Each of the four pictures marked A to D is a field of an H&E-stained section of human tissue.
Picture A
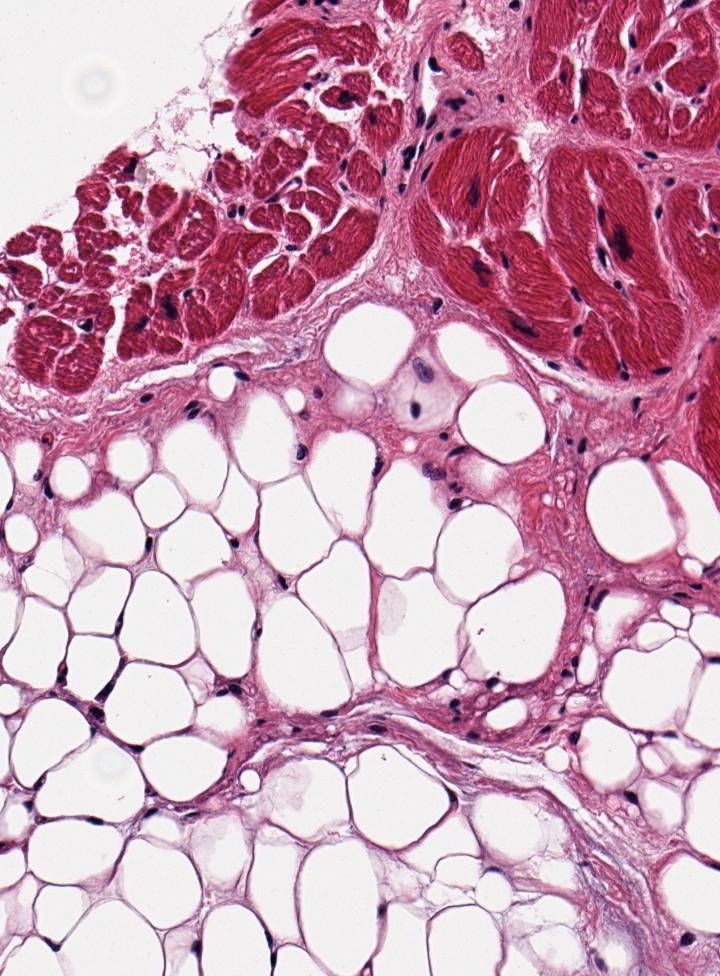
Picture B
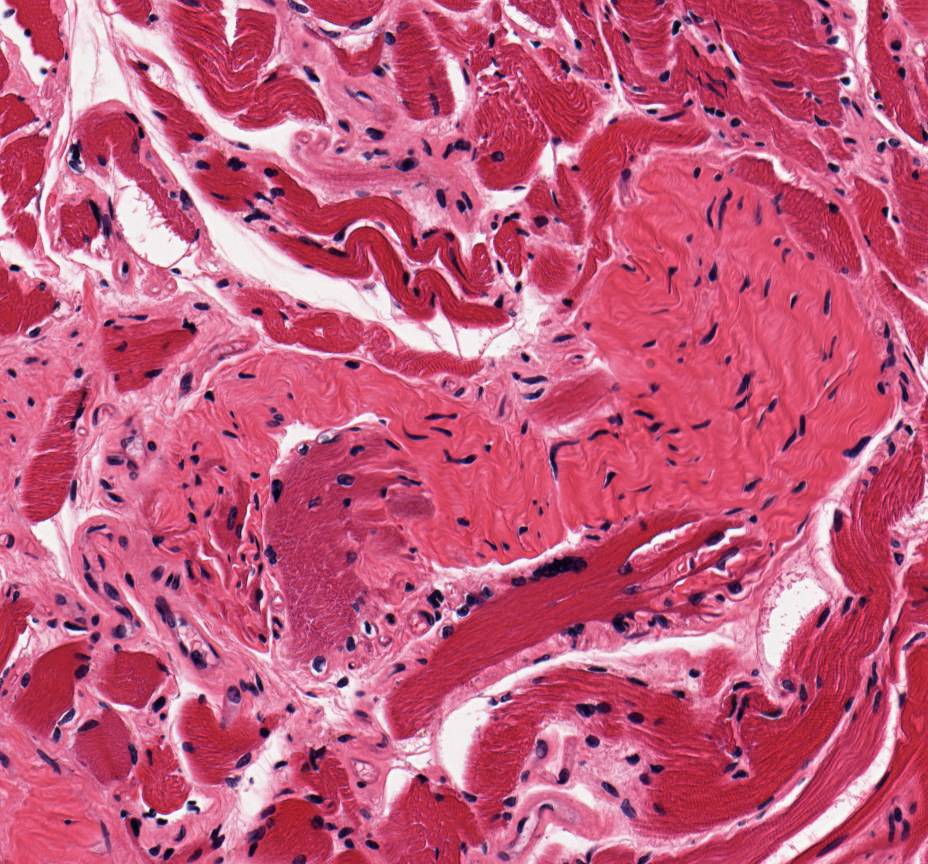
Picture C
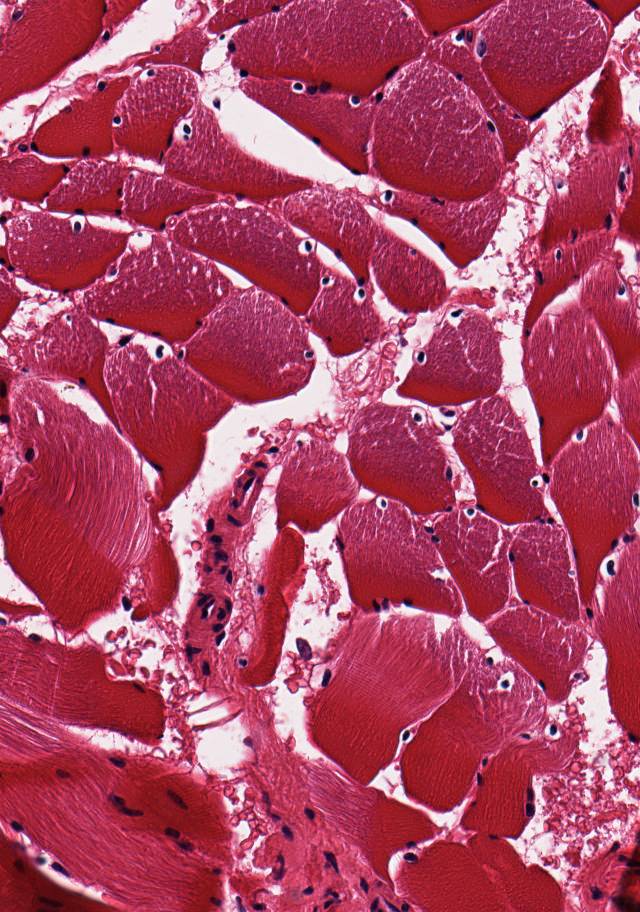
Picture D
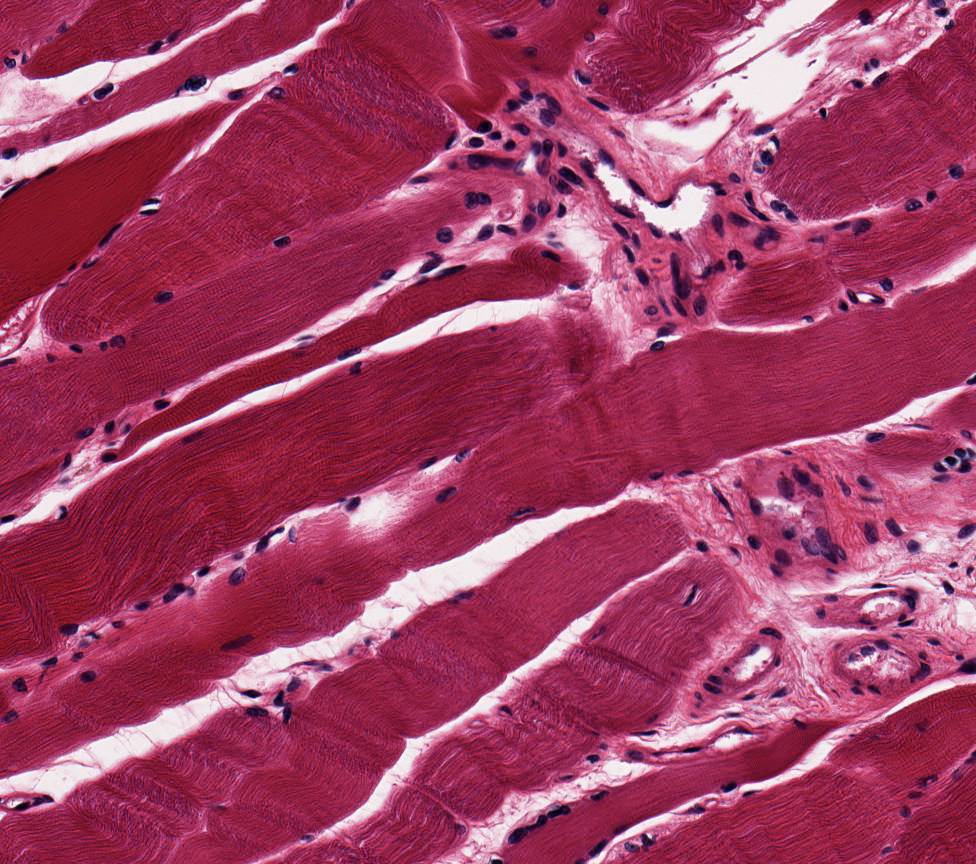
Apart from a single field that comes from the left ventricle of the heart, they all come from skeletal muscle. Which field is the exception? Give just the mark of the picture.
A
